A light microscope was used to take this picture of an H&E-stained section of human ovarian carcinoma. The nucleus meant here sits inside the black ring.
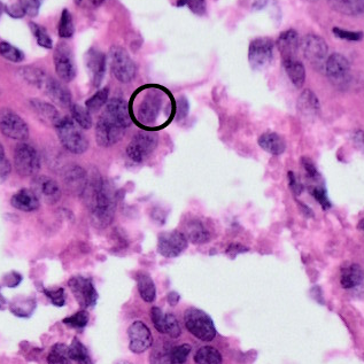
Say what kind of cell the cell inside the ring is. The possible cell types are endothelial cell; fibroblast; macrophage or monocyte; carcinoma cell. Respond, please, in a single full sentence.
In the context of this tissue, the cell inside the ring is a carcinoma cell.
